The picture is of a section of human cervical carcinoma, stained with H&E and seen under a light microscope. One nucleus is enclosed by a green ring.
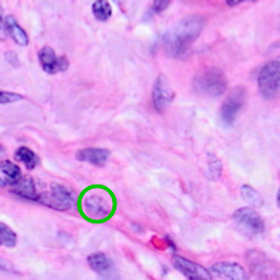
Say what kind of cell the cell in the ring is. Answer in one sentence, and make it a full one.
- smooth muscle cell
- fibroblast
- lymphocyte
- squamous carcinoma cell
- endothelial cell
At the level of cell identity, the cell in the ring is an endothelial cell.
